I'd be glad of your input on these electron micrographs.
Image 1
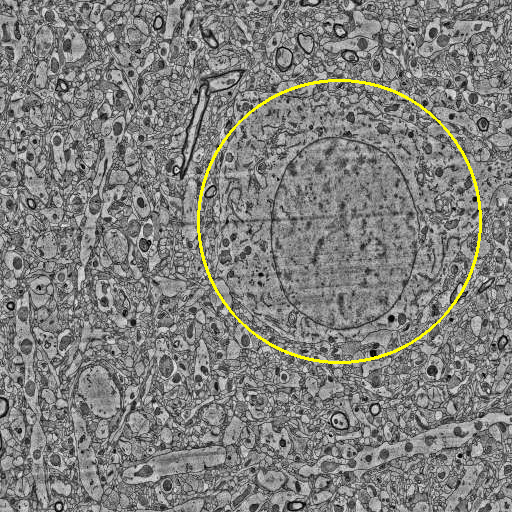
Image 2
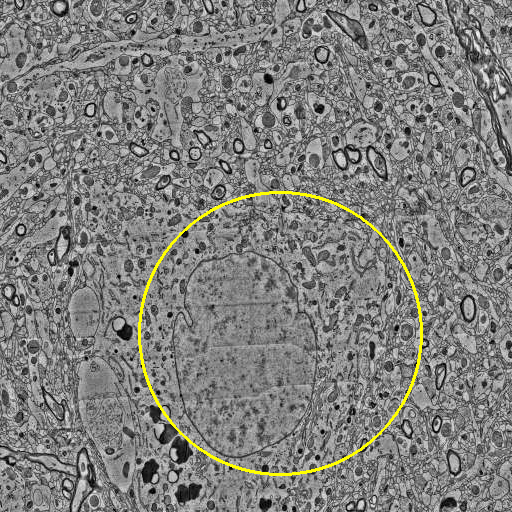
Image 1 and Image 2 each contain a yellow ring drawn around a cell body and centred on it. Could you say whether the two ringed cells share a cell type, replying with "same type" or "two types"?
same type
